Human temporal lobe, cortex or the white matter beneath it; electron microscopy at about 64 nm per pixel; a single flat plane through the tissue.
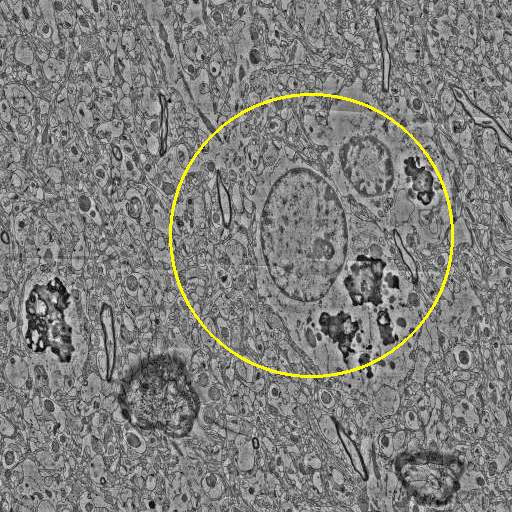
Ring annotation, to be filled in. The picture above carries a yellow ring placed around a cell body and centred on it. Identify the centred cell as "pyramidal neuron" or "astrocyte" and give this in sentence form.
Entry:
The cell in the middle of the ring is an astrocyte.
